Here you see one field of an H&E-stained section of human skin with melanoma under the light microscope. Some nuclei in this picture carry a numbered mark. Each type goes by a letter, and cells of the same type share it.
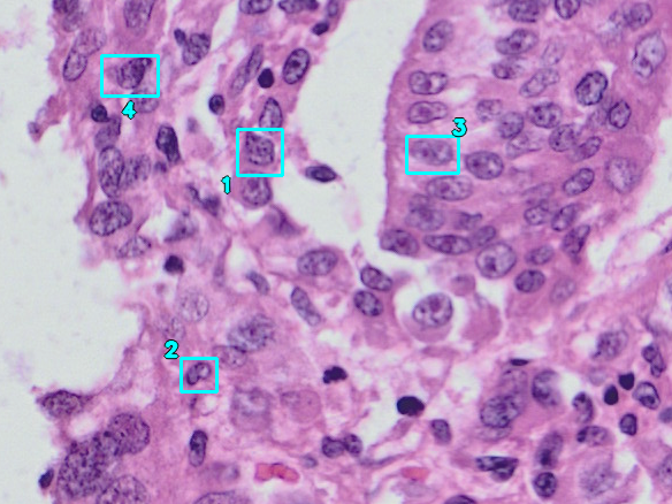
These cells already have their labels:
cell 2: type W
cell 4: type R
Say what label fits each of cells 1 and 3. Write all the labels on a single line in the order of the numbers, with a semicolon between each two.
type R; type R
